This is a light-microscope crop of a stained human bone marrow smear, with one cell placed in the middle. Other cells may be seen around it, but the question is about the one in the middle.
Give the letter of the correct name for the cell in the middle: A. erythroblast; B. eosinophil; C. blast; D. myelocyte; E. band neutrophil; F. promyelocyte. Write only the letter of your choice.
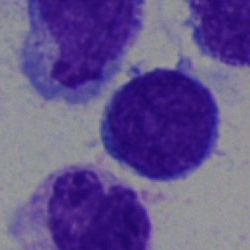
C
